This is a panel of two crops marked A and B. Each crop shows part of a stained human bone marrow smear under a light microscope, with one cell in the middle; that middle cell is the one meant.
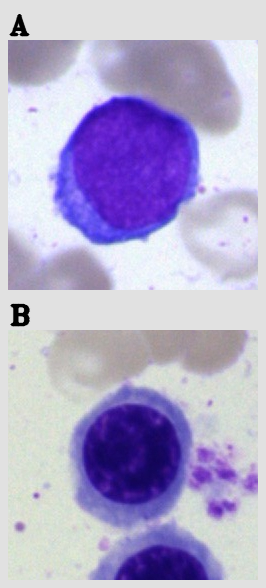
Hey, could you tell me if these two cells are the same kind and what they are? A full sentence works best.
No, cell A is a blast, and cell B is an erythroblast.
